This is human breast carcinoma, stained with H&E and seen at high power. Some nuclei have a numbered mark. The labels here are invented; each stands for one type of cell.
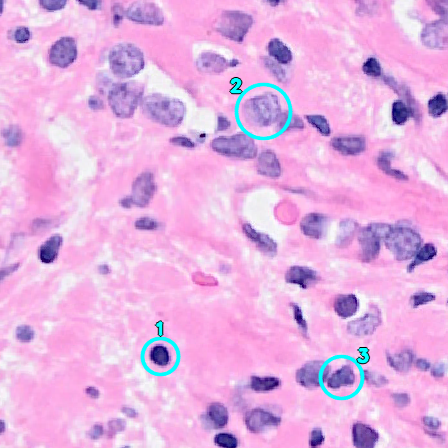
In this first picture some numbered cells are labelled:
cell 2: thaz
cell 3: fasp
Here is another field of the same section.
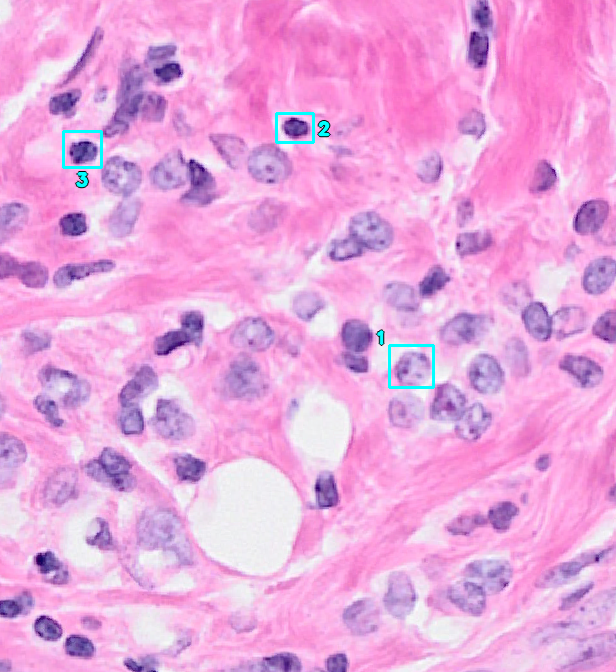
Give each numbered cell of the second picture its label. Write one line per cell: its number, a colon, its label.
1: thaz
2: fasp
3: fasp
